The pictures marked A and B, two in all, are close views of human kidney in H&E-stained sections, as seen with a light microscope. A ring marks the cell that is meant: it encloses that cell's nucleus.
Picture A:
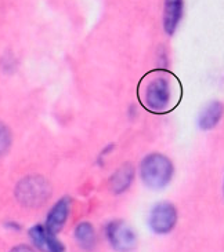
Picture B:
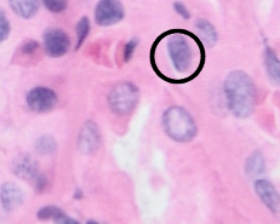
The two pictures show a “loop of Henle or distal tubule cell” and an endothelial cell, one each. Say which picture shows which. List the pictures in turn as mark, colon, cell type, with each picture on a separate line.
A: loop of Henle or distal tubule cell
B: endothelial cell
